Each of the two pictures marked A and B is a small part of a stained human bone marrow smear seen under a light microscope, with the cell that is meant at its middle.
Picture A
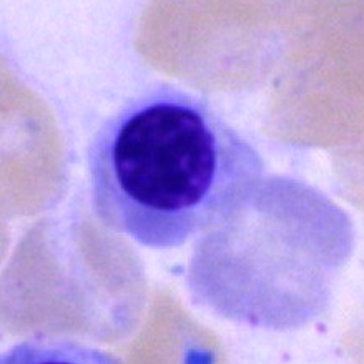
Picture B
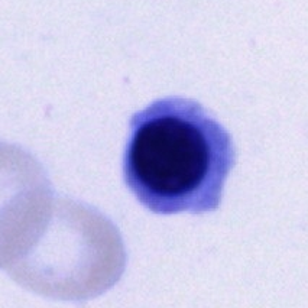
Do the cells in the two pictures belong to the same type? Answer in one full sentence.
Yes, they are the same type: both are erythroblasts.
